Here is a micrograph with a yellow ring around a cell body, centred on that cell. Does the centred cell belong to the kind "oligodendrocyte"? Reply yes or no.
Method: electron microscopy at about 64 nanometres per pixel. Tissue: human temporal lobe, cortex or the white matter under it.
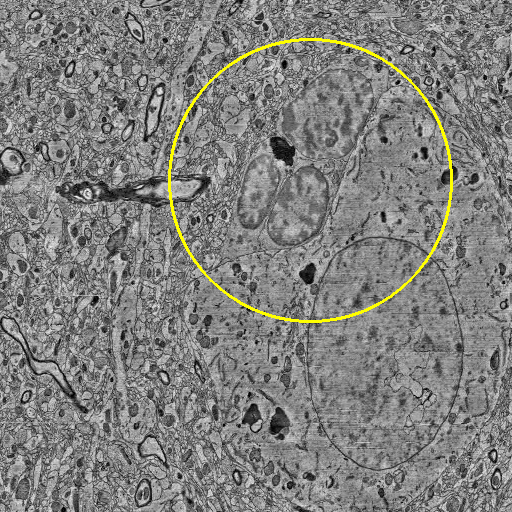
yes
